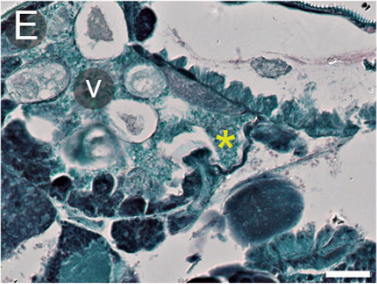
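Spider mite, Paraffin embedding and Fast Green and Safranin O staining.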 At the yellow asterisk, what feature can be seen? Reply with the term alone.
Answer: esophageal valve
